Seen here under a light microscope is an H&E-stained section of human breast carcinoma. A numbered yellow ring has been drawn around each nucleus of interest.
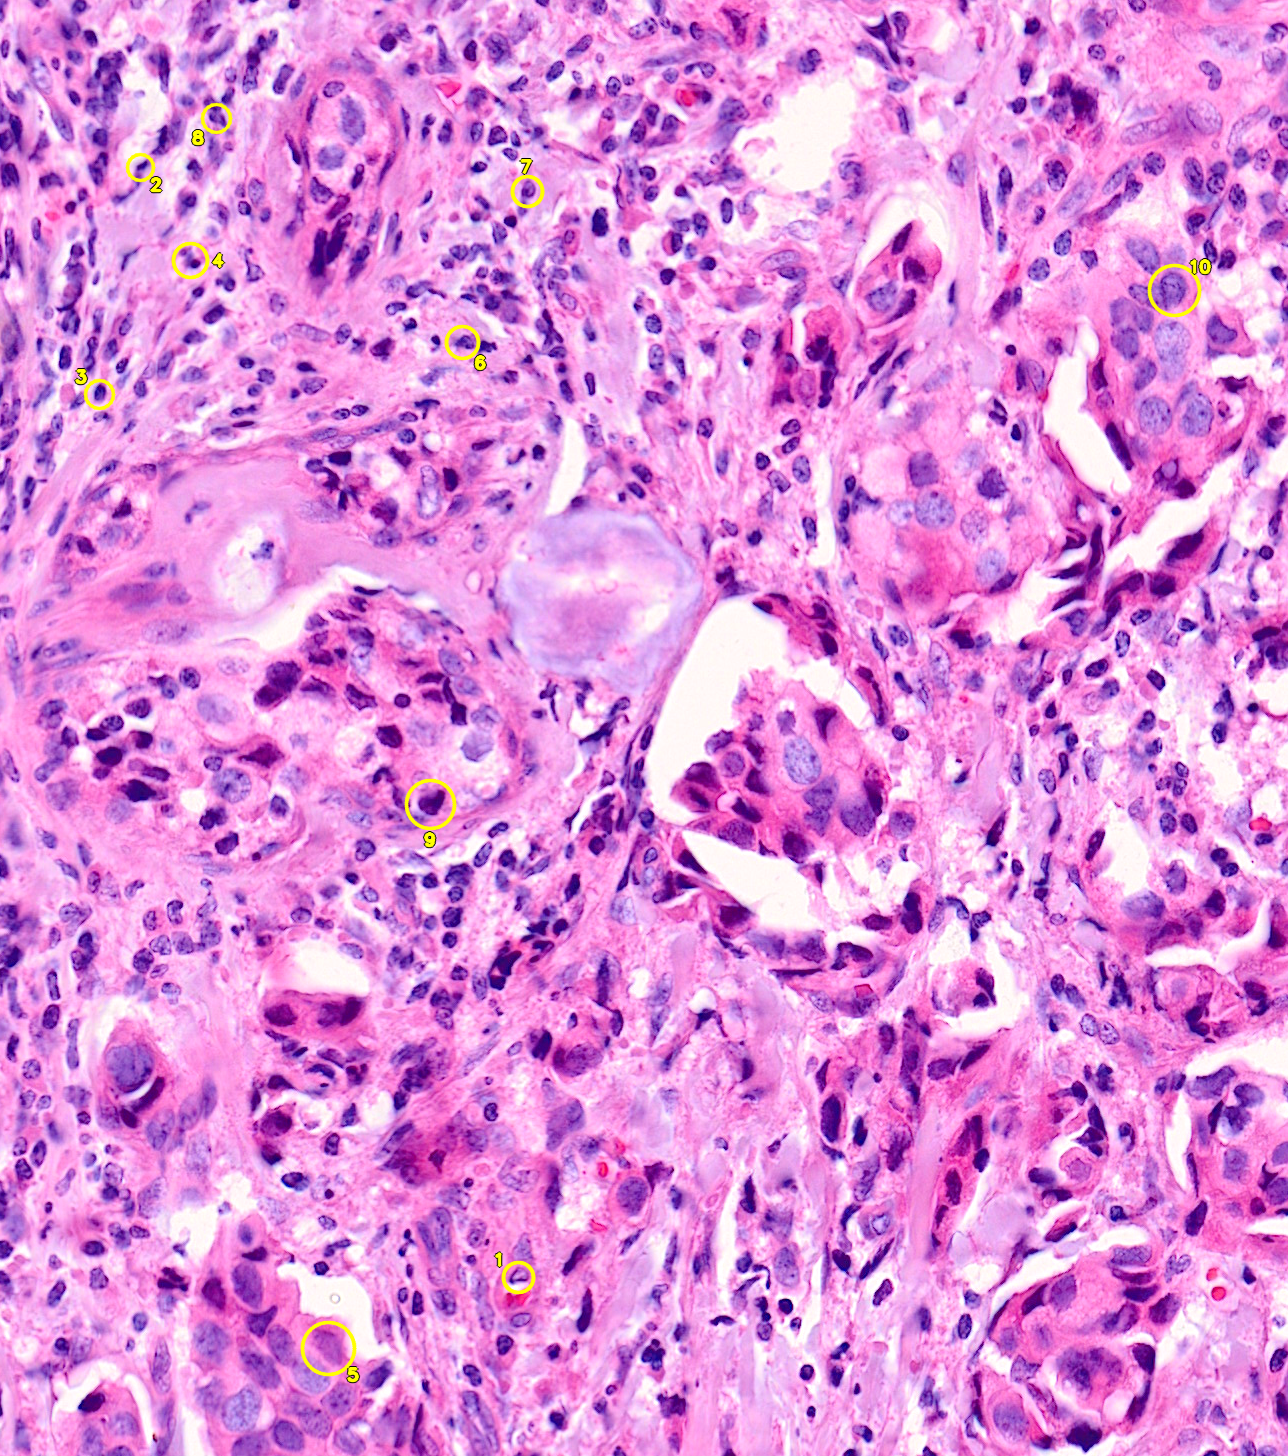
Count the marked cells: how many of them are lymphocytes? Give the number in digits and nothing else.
6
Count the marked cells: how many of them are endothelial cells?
1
